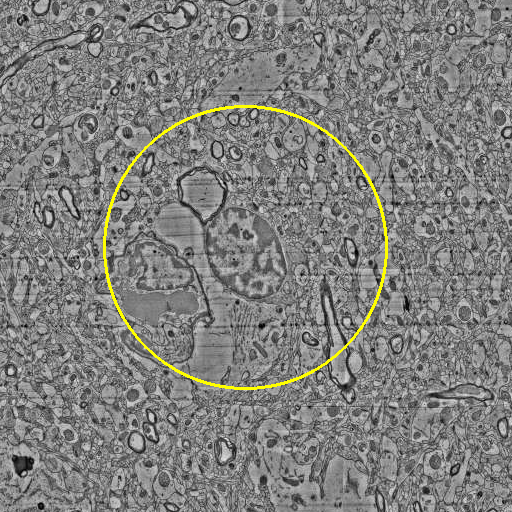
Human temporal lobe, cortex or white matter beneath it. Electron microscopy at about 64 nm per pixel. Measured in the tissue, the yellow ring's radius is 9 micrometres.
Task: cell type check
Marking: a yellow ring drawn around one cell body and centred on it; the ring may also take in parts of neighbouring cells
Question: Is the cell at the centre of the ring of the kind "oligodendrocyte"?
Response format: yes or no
yes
